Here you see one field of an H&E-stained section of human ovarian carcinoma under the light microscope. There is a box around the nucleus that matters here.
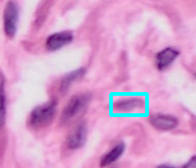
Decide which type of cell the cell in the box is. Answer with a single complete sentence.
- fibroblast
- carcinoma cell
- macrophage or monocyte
In this tissue sample, the cell in the box is a fibroblast.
